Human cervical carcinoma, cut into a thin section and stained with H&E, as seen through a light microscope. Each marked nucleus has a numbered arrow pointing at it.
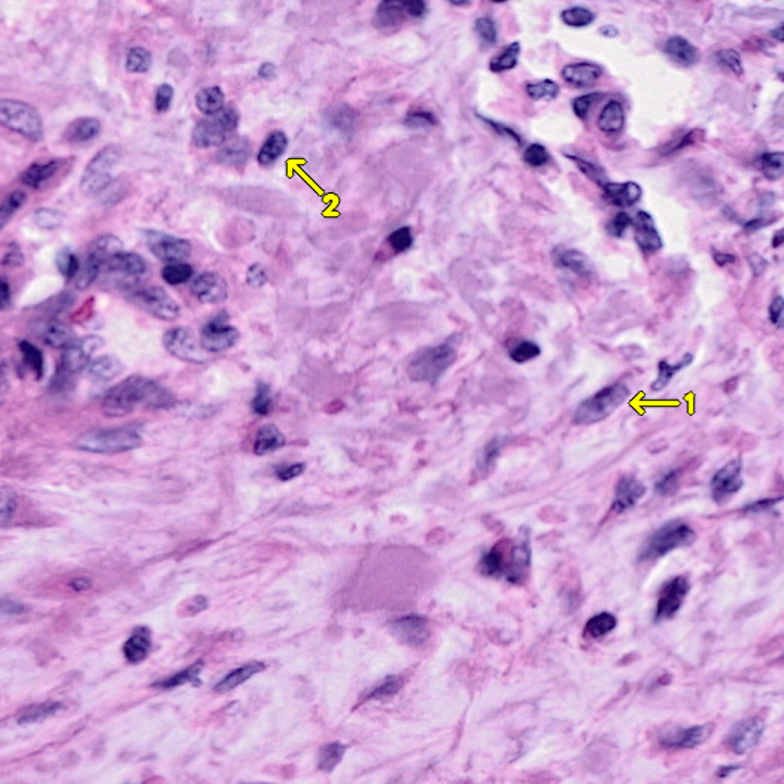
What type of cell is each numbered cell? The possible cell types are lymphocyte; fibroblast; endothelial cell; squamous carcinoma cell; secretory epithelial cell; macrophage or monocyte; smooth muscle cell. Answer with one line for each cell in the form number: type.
1: fibroblast
2: lymphocyte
